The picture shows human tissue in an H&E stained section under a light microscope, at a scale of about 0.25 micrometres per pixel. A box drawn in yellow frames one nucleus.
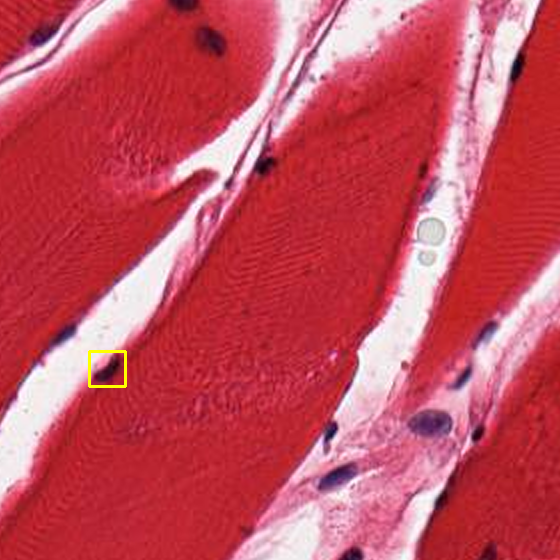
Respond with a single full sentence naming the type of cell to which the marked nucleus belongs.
In this picture, the marked nucleus belongs to a skeletal muscle fibre.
